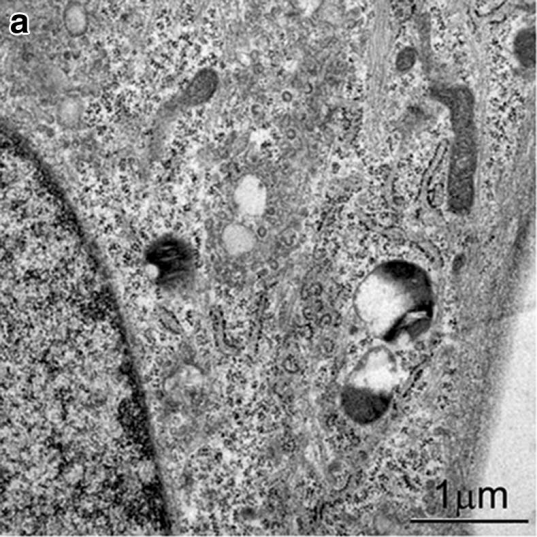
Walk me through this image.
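The nucleus has finely granular chromatin, with darker condensed chromatin along the nuclear envelope. The cytoplasm is crowded with ribosomes and contains several elongated mitochondria, some small pale round vacuoles and a few larger vacuoles with very dark, dense contents. Near the lower right the cell ends against the pale background outside it.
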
